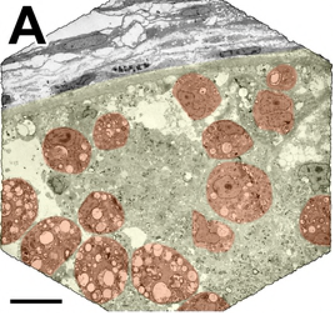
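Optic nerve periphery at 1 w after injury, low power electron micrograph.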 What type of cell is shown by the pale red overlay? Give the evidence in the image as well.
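Many large rounded cells are tinted red within the yellow-tinted tissue. The red-tinted cells are filled with many pale vacuoles and inclusions. On this evidence: macrophages.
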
